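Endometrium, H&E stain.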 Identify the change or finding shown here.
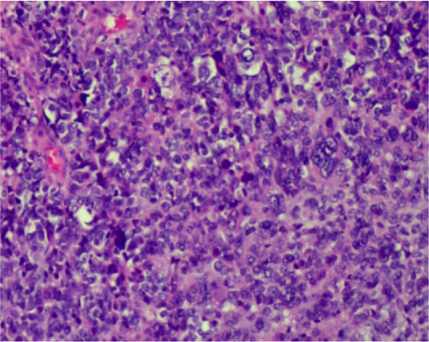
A: Marked nuclear pleomorphism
